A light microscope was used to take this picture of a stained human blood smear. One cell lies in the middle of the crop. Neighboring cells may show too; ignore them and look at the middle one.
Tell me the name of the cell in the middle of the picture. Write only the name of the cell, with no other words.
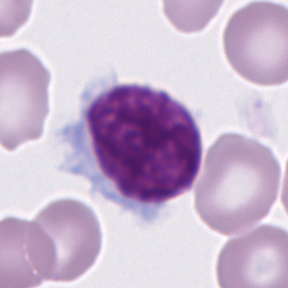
hairy cell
